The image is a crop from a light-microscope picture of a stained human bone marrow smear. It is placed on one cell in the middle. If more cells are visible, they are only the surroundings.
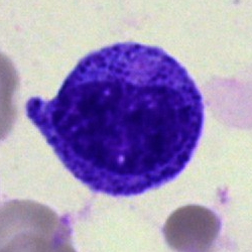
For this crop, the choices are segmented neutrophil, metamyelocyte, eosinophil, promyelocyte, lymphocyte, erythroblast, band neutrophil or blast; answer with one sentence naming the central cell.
On this slide crop, the central cell is a promyelocyte.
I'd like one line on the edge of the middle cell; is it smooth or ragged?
Its surface contour departs from smoothness through ragged edges or outward projections.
